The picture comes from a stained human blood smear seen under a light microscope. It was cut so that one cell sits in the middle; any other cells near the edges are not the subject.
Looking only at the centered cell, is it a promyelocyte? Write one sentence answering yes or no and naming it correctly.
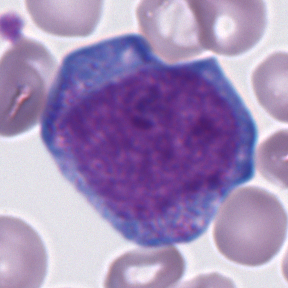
Yes, the cell in the middle of the view is a promyelocyte.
